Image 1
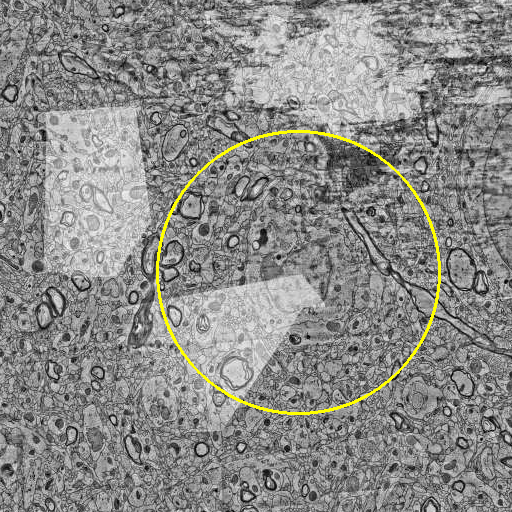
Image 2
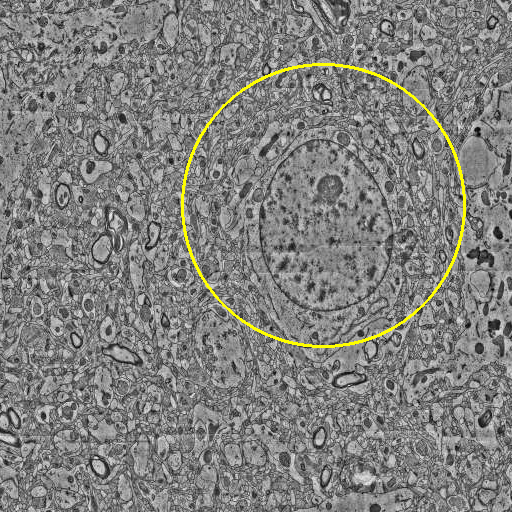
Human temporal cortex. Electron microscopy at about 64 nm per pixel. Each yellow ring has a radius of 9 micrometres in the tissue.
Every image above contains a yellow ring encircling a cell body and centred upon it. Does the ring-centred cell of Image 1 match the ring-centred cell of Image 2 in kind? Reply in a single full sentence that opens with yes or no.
No, the cell at the ring's centre in Image 1 is a separate kind from that in Image 2.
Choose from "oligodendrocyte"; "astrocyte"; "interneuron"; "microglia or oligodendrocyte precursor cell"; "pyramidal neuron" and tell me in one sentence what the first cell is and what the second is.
What the first ring is centred on is an interneuron; what the second ring is centred on is a pyramidal neuron.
